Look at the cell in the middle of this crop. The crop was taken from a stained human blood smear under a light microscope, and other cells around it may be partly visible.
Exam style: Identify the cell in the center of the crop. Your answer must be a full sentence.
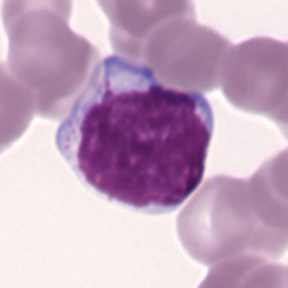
The cell in the middle of this crop is a large granular lymphocyte.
